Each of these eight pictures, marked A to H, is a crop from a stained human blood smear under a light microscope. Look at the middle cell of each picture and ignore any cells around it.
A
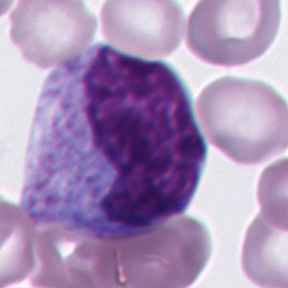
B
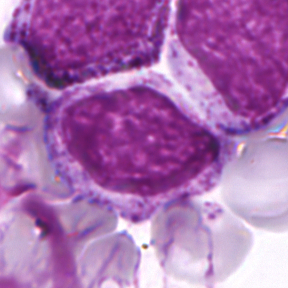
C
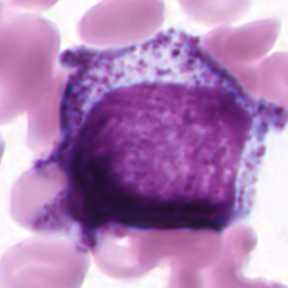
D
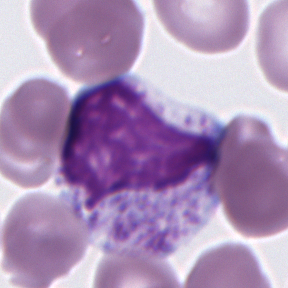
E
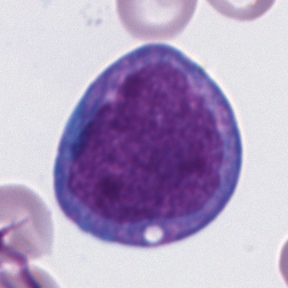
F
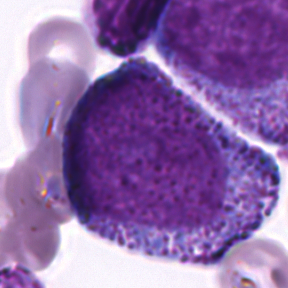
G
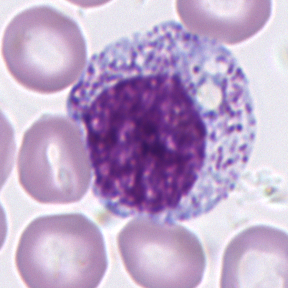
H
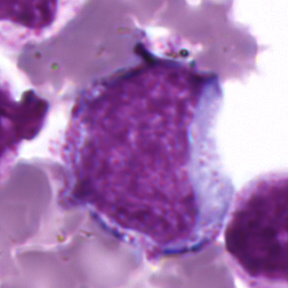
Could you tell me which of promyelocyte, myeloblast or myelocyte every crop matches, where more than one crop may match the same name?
A: promyelocyte
B: myelocyte
C: promyelocyte
D: myelocyte
E: promyelocyte
F: promyelocyte
G: promyelocyte
H: promyelocyte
